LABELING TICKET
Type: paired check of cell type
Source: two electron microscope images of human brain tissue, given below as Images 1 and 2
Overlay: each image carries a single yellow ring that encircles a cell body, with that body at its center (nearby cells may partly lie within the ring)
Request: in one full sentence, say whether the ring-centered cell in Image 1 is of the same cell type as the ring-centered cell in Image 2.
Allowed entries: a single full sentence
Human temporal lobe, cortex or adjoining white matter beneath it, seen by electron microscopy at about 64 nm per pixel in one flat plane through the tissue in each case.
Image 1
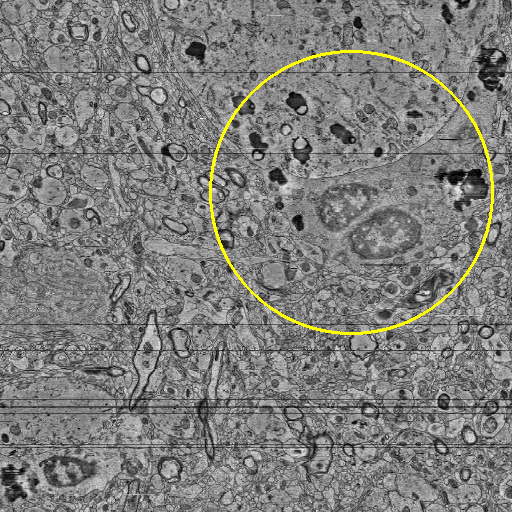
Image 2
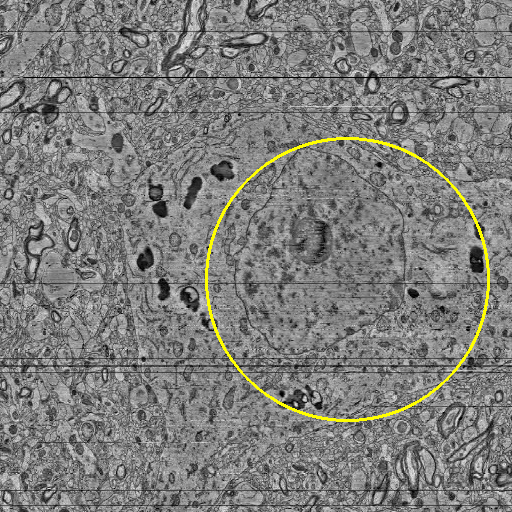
No, the cells centered in the rings of Image 1 and Image 2 are of two types.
